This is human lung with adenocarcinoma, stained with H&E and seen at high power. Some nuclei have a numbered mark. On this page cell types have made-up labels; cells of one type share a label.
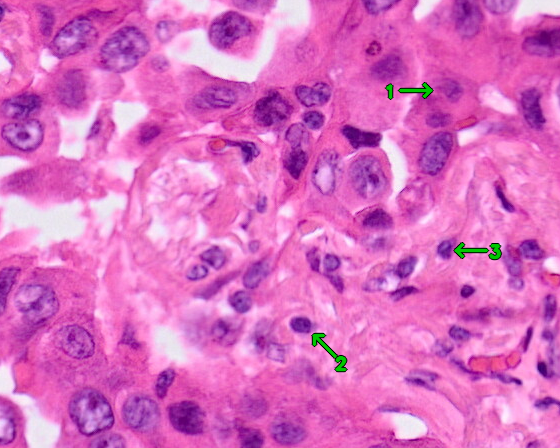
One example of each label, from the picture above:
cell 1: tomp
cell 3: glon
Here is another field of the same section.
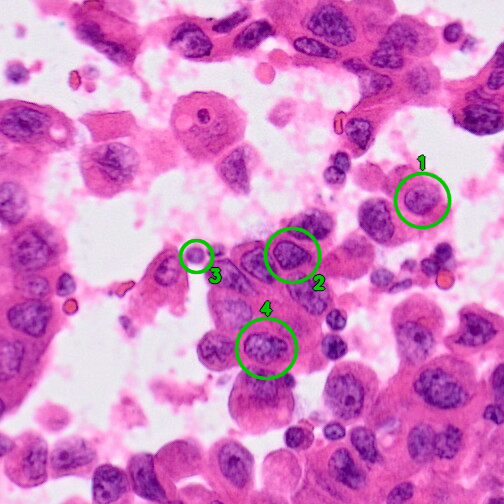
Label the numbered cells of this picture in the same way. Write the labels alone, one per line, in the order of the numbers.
tomp
tomp
glon
tomp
